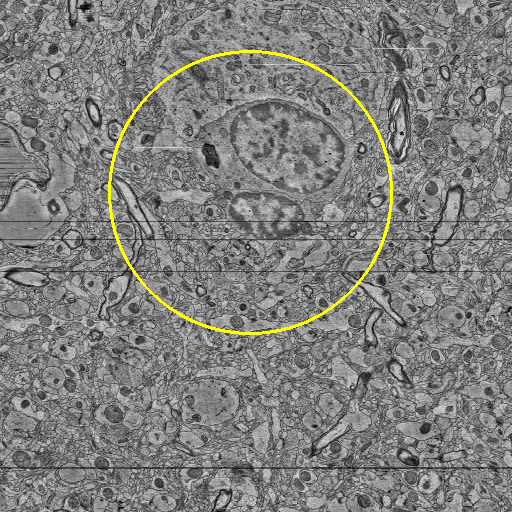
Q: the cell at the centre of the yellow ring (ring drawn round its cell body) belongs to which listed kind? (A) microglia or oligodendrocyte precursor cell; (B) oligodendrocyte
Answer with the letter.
B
